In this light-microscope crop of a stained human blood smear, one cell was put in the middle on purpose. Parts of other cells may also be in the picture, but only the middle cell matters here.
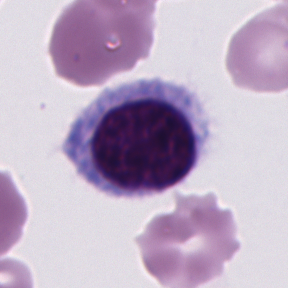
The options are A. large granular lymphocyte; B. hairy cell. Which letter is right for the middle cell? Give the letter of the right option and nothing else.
B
